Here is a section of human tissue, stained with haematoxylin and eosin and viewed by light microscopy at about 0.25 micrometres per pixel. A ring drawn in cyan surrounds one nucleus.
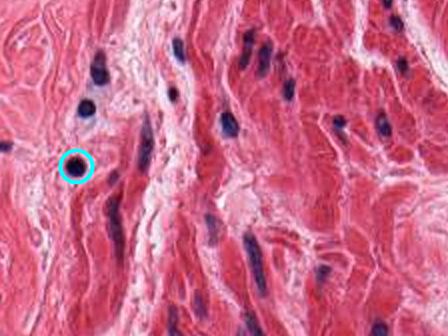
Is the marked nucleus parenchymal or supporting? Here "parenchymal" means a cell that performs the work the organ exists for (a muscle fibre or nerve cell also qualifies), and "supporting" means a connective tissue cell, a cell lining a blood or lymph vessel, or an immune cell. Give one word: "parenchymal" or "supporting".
supporting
